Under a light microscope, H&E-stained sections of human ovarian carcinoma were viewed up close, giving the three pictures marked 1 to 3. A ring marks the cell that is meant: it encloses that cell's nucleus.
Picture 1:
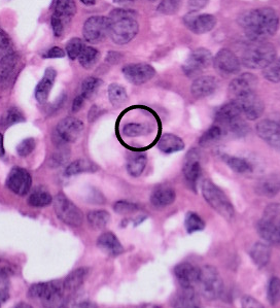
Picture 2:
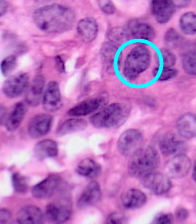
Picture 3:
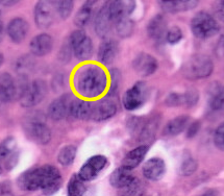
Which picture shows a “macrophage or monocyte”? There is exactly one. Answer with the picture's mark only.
1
